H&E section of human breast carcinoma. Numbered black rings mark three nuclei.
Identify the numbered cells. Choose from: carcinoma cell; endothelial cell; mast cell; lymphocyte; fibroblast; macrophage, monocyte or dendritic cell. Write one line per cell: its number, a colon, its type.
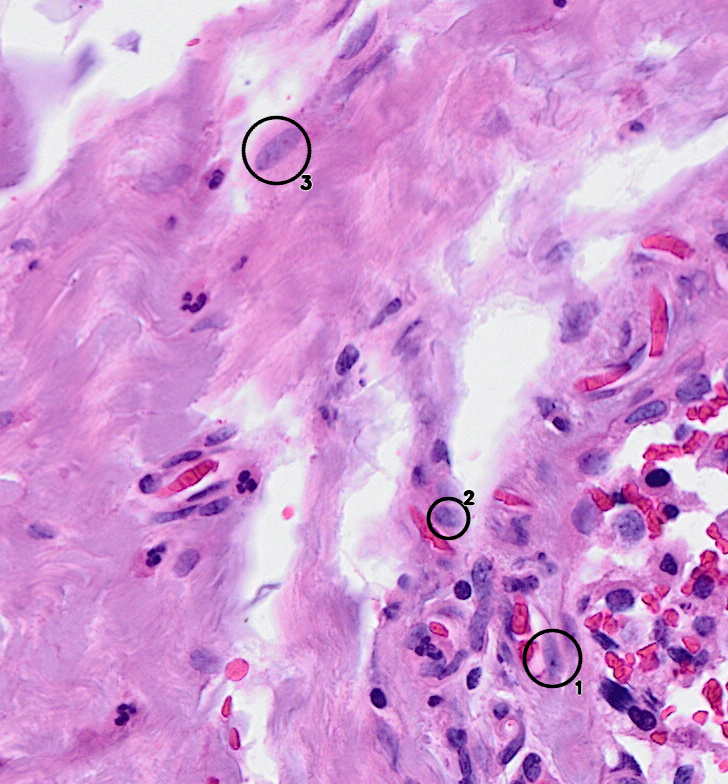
1: endothelial cell
2: endothelial cell
3: fibroblast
